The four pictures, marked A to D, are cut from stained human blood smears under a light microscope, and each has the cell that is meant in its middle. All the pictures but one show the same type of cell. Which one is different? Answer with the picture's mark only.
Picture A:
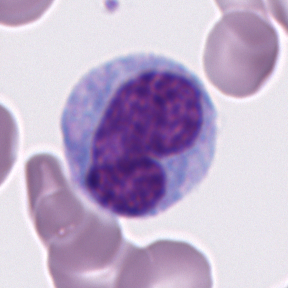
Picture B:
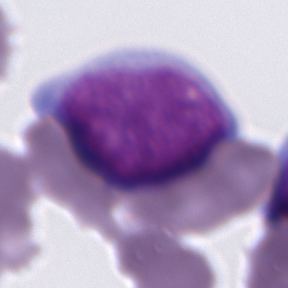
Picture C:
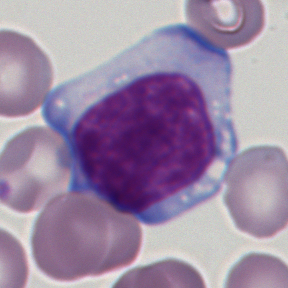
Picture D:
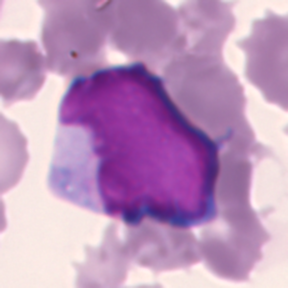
A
